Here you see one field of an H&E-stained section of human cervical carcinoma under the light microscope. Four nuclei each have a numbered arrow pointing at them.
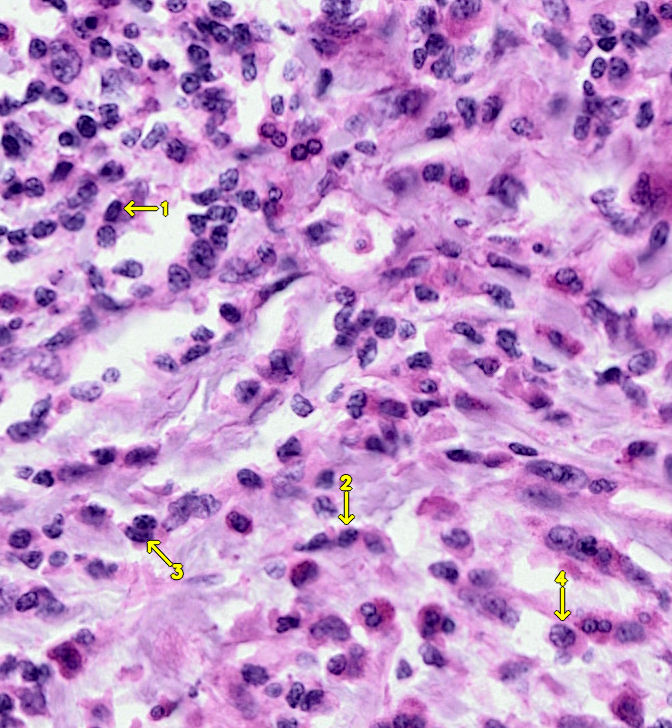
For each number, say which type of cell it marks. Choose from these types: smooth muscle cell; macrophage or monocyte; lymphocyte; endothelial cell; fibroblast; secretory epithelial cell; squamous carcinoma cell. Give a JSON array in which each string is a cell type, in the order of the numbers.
["lymphocyte", "lymphocyte", "lymphocyte", "macrophage or monocyte"]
